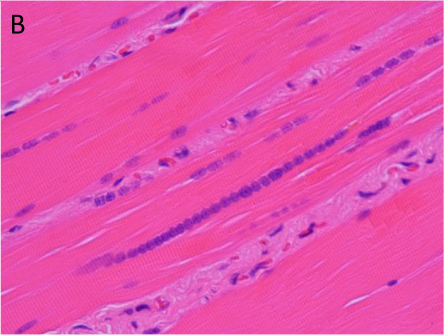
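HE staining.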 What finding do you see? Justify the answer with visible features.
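A long row of closely packed dark purple nuclei runs along a longitudinally cut fiber. The nuclei lie end to end like beads on a string.
Answer: chained nuclei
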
